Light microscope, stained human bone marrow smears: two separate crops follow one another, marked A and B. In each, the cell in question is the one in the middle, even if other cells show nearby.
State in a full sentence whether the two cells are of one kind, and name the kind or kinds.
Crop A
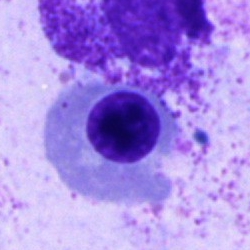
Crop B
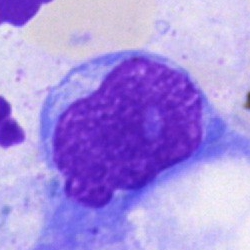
No, a normoblast lies at the centre of crop A, and a blast lies at the centre of crop B.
